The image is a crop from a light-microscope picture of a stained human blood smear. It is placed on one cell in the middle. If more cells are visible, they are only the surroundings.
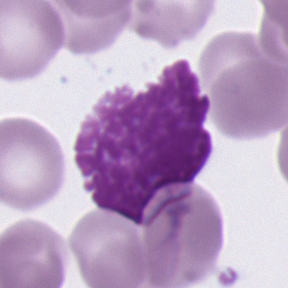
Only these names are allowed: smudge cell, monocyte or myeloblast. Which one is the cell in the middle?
smudge cell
